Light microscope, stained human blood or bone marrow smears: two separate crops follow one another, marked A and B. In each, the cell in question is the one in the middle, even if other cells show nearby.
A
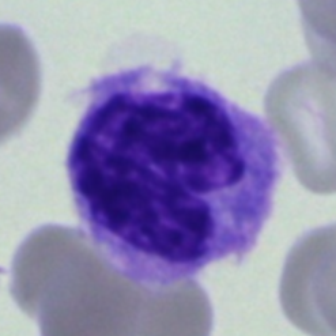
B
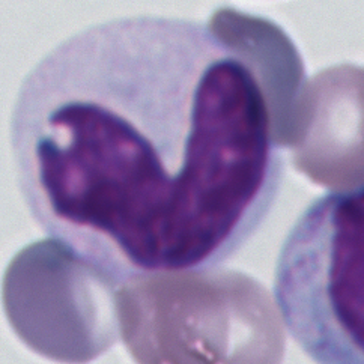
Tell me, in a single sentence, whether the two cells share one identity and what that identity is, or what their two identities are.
No, the labels go like this: crop A is a monocyte and crop B is a band neutrophil.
